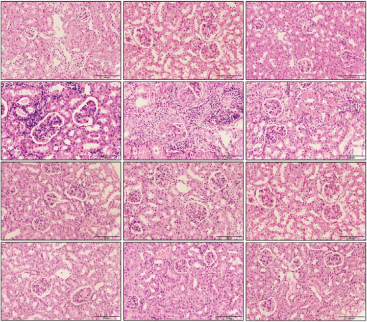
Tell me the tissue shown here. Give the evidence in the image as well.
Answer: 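Renal. Rounded, cell-dense glomerular tufts lie among tubules. Many tubular cross-sections are lined by pink cuboidal epithelium.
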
